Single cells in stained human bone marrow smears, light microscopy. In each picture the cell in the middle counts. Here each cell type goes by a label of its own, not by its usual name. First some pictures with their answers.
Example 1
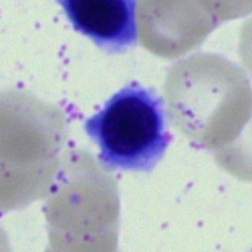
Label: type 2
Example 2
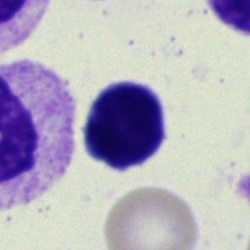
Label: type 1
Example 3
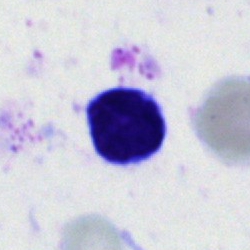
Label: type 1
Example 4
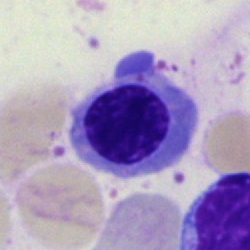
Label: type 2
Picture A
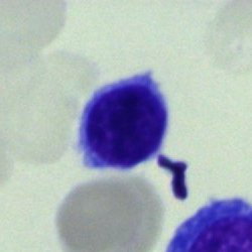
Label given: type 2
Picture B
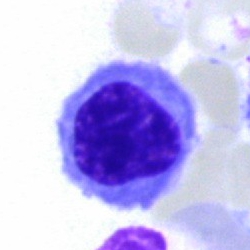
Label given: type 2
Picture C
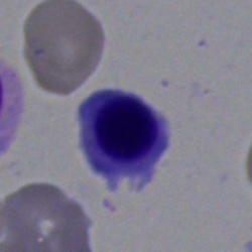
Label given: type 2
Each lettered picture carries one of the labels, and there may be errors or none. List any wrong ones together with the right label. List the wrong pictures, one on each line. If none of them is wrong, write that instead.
A should be type 1, not type 2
